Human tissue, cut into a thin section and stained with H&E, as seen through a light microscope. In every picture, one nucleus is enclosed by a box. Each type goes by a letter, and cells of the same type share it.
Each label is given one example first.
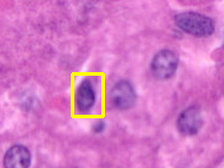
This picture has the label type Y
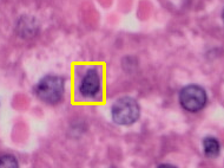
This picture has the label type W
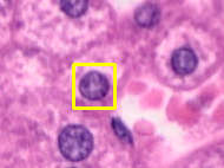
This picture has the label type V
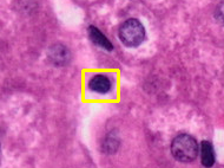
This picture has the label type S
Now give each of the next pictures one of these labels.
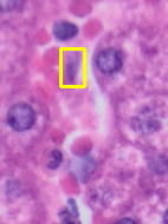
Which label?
type Y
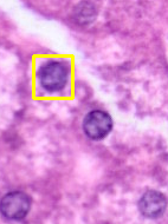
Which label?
type V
